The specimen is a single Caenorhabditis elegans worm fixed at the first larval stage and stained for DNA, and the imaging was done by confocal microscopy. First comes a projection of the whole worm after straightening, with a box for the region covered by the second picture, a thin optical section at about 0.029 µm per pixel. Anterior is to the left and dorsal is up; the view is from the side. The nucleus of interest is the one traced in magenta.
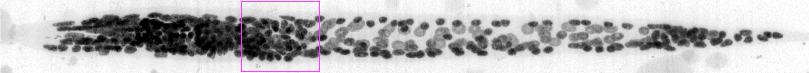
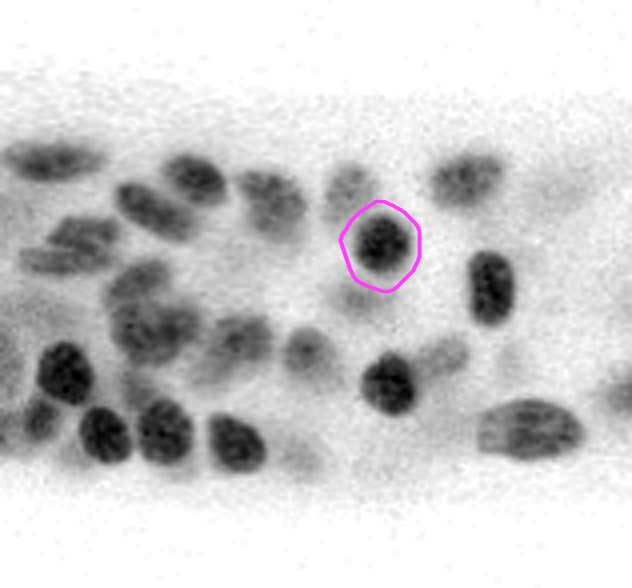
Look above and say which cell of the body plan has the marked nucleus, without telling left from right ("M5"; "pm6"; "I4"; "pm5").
M5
